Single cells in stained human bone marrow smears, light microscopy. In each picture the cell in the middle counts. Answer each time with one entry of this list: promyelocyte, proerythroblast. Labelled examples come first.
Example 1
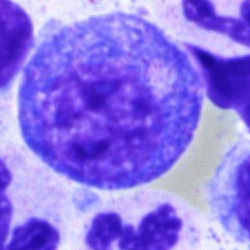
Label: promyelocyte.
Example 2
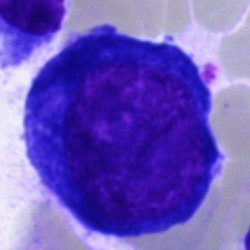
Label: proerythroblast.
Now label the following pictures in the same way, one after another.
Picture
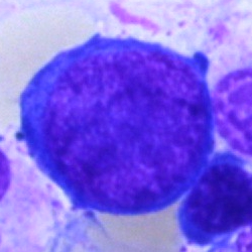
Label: proerythroblast.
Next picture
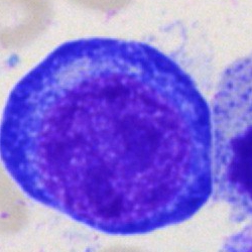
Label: proerythroblast.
